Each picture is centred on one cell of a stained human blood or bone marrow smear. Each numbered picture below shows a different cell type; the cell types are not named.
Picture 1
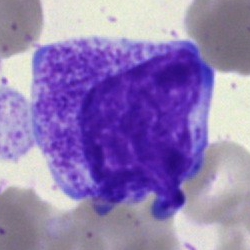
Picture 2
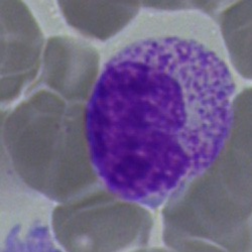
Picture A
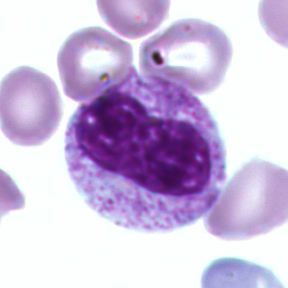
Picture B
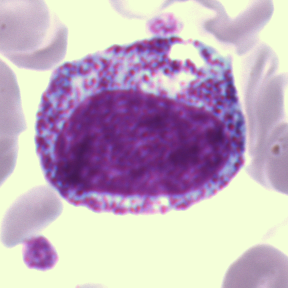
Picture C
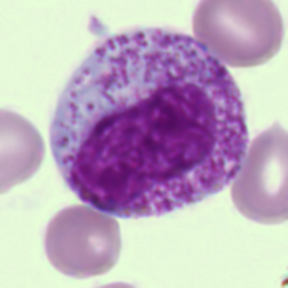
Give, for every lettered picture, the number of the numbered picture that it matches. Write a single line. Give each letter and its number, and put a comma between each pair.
A 2, B 1, C 2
